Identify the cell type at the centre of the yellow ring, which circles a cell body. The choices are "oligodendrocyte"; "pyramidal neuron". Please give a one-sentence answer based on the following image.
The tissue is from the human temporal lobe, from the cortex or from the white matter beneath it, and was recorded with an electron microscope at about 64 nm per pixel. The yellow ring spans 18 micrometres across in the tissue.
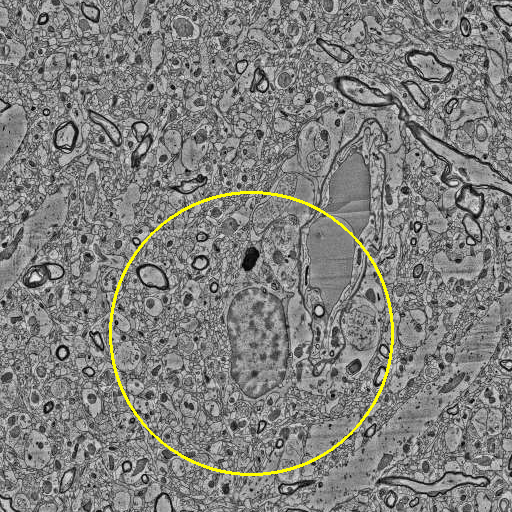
The cell marked by the ring is an oligodendrocyte.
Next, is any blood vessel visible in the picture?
Yes, one shows.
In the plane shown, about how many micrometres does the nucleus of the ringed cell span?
The ringed cell's nucleus is about 7 micrometres long and 4 micrometres wide in this plane.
